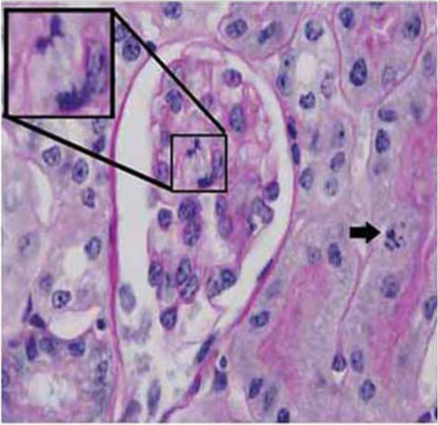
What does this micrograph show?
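A glomerulus in its capsule lies beside tubules lined by cuboidal epithelium with pale pink cytoplasm and round nuclei. Inside the capillary tuft, one nucleus shows dark, clumped, irregular chromatin, the appearance of a mitotic figure, and it is enlarged in the corner inset. A similar dark, fragmented-looking nucleus sits in the tubular epithelium to the right. The basement membranes and capsule are outlined in magenta.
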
